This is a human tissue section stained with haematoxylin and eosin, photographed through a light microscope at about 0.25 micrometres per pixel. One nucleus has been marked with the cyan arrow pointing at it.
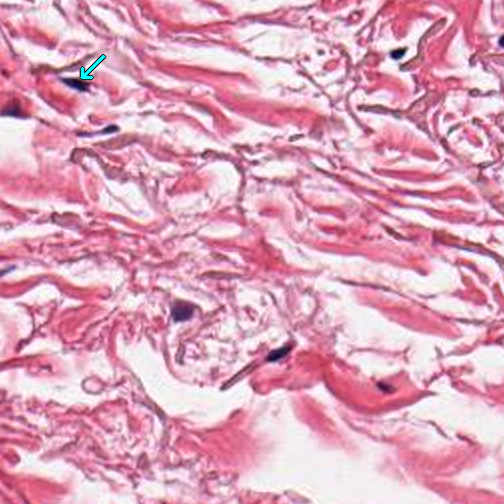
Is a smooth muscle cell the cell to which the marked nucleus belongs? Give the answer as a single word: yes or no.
no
